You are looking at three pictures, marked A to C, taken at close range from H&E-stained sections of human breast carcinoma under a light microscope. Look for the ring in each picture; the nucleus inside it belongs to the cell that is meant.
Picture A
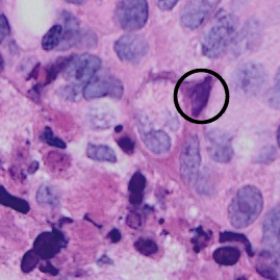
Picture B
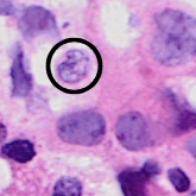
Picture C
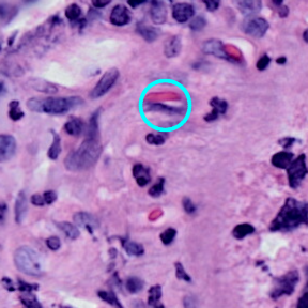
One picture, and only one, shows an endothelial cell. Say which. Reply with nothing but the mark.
C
